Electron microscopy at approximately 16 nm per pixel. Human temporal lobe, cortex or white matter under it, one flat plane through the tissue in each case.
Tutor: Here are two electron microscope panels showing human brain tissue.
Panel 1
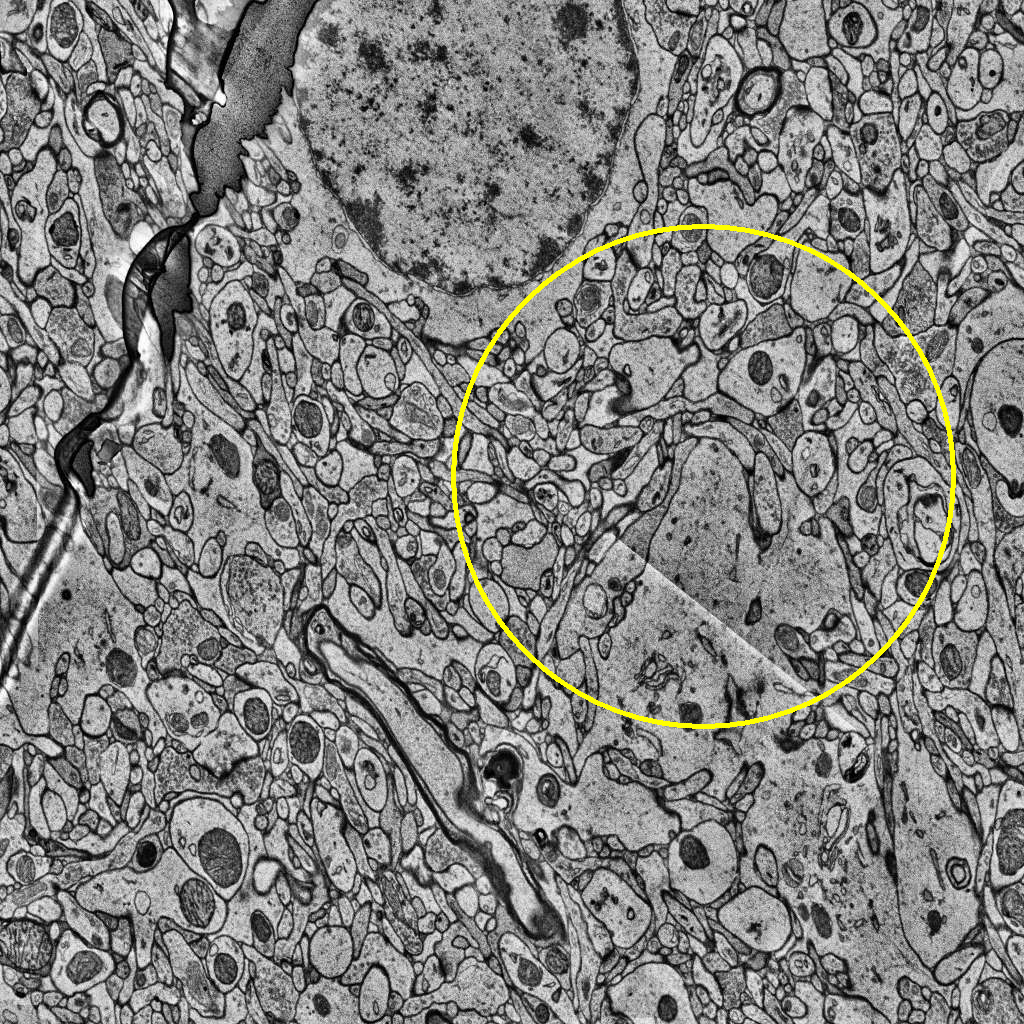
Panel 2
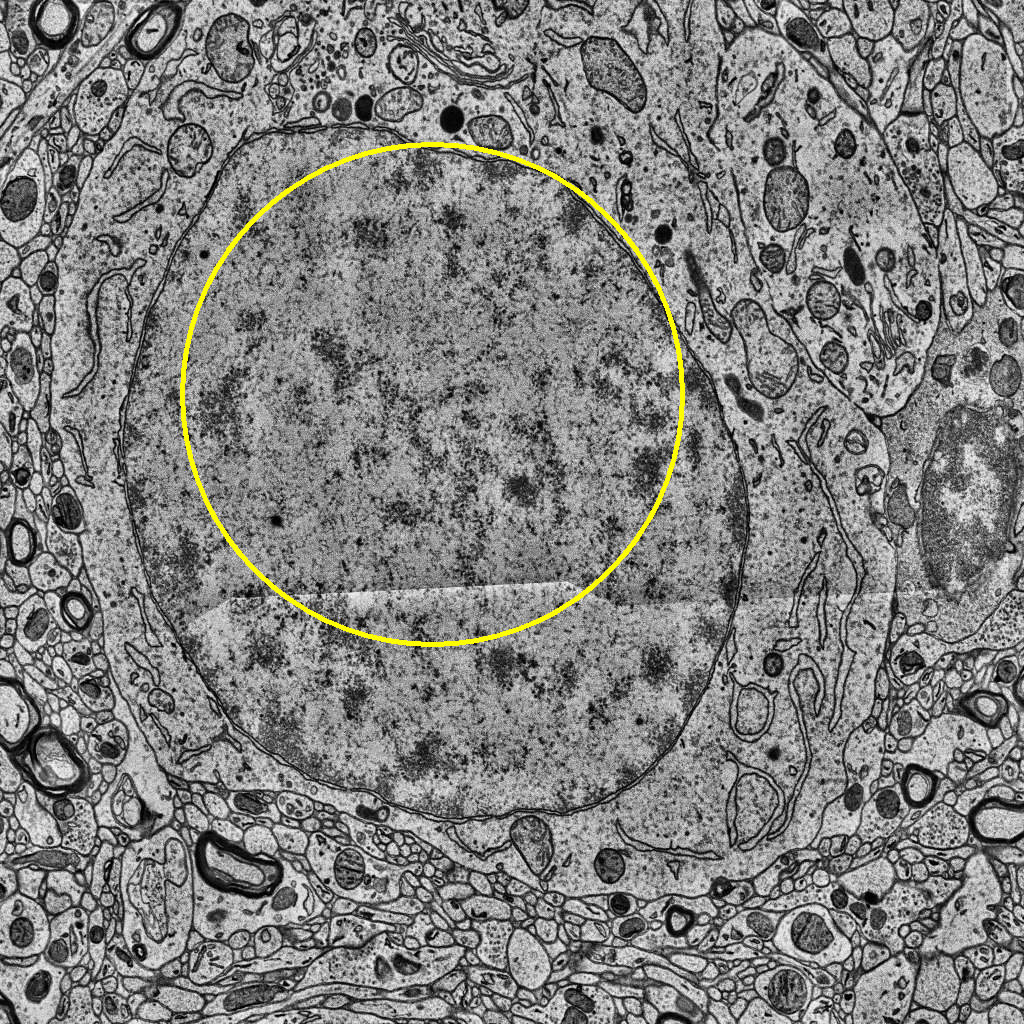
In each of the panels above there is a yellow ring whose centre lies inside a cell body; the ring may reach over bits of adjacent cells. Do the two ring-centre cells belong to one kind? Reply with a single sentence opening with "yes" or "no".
No, the two cells lying at the ring centres in the panels belong to two kinds.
